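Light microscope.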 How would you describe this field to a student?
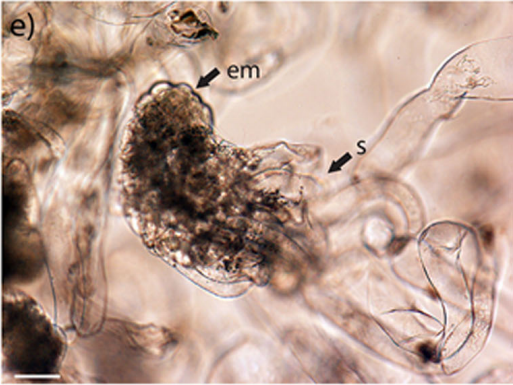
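A compact, oval mass of small, dark, granular cells occupies the centre, bounded by a smooth, slightly lobed outline. From its lower right side, long clear tubular cells stretch away, some curving and folding, with thin walls and largely empty-looking contents. Other dense masses and clear tubes lie at the edges. The dense oval cluster is the embryonal mass of an early embryo, and the elongated clear cells trailing from it are suspensor cells.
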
